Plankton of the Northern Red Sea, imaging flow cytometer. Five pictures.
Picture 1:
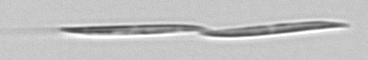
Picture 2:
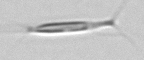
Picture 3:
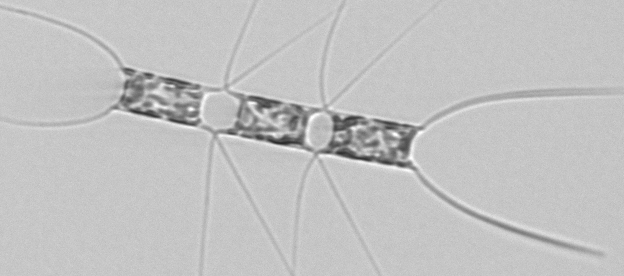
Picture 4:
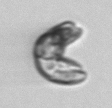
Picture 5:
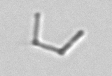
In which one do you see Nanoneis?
In picture 5.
